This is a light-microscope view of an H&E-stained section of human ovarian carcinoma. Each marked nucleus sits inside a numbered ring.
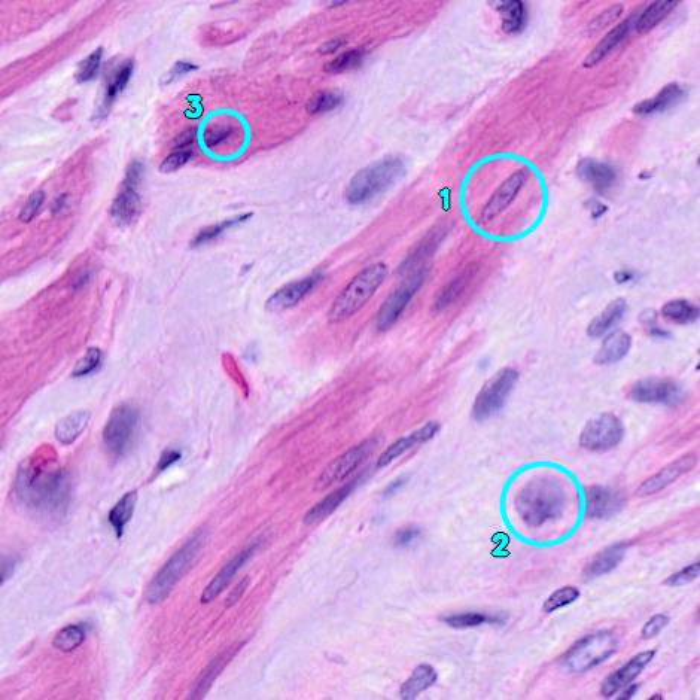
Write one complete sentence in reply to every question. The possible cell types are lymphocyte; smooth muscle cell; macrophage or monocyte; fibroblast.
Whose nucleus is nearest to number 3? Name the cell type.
The nearest nucleus to number 3 belongs to a smooth muscle cell.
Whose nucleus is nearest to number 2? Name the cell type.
Number 2 lies closest to the nucleus of a fibroblast.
